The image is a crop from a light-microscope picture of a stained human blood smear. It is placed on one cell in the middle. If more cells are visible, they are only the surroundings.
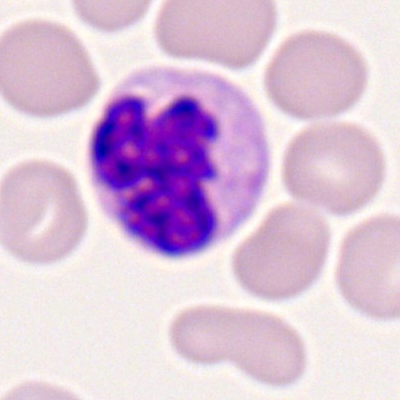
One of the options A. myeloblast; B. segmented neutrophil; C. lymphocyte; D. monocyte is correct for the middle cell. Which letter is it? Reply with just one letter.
B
